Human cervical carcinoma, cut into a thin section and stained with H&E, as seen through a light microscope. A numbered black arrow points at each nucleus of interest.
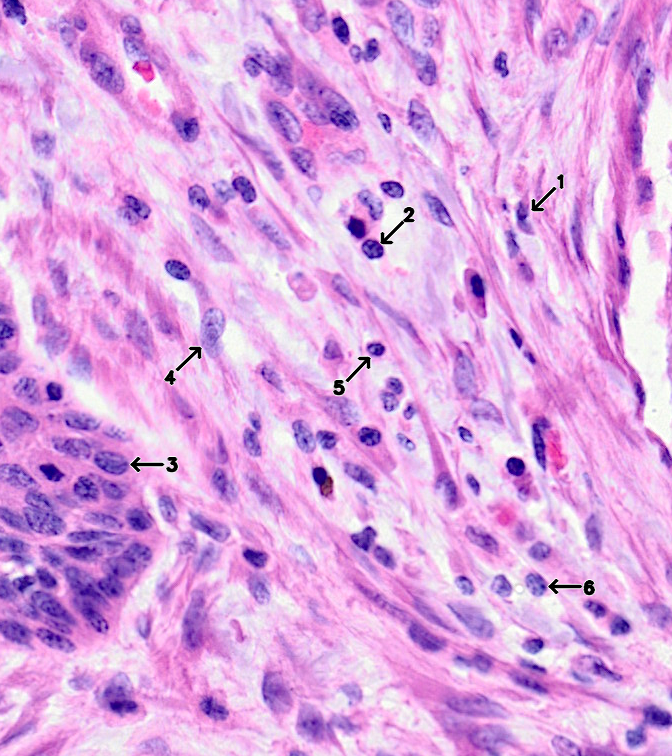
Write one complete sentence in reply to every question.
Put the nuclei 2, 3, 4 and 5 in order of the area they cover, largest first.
Largest first, the order by area is 4, 3, 2, 5.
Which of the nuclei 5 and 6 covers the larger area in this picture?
At about 2 times the area of nucleus 5, nucleus 6 is the larger of the two.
